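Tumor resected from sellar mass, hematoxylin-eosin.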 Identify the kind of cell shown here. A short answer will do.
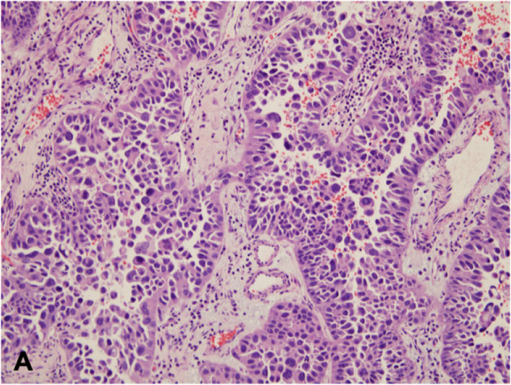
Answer: malignant epithelial cells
